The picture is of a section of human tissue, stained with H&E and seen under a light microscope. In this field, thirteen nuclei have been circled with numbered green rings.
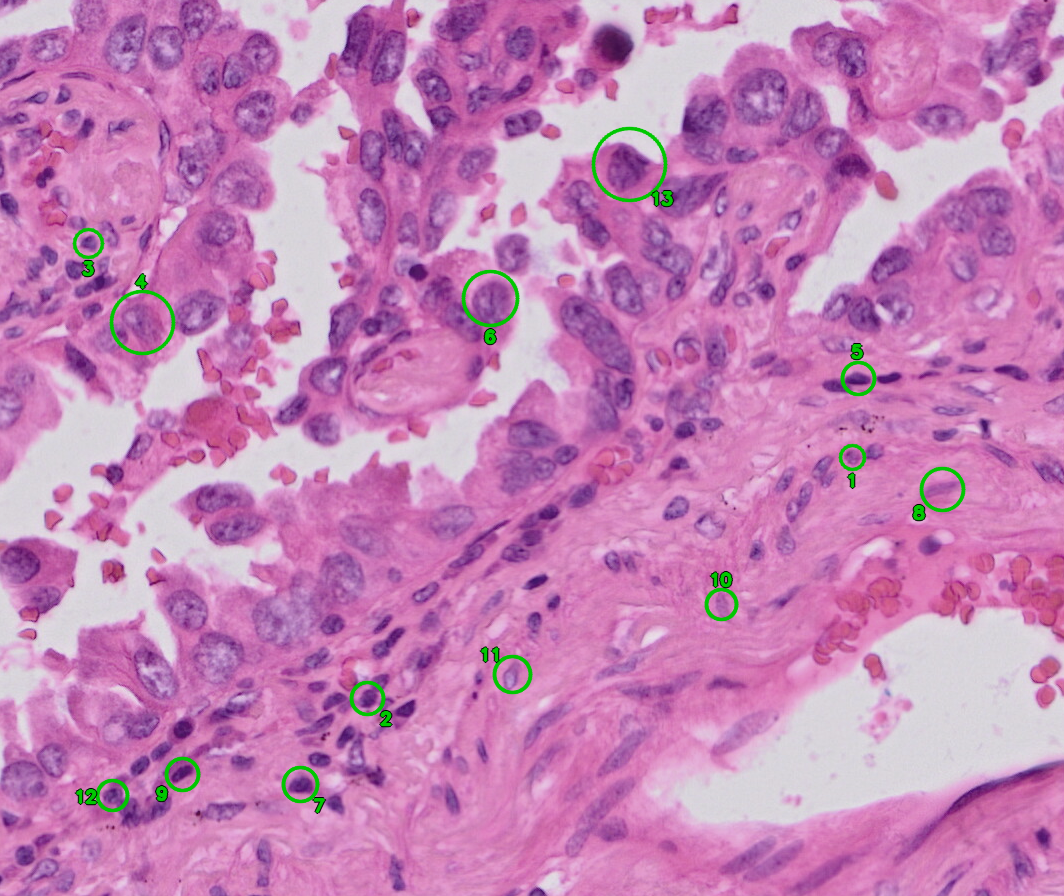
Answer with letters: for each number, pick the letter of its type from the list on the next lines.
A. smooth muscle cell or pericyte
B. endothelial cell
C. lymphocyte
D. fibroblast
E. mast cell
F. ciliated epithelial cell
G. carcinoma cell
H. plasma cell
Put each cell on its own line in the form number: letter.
1: A
2: C
3: C
4: G
5: C
6: G
7: H
8: A
9: H
10: A
11: A
12: C
13: G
